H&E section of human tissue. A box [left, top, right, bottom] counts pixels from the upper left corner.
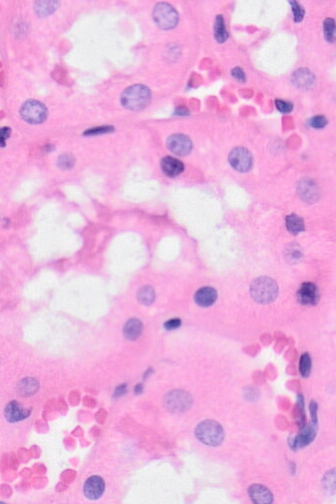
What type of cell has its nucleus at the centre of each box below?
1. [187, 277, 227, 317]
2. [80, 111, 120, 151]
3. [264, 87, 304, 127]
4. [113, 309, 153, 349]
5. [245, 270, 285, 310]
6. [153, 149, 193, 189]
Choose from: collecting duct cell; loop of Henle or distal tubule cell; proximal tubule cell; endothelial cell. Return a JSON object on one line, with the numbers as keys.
{"1": "proximal tubule cell", "2": "endothelial cell", "3": "endothelial cell", "4": "proximal tubule cell", "5": "proximal tubule cell", "6": "proximal tubule cell"}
